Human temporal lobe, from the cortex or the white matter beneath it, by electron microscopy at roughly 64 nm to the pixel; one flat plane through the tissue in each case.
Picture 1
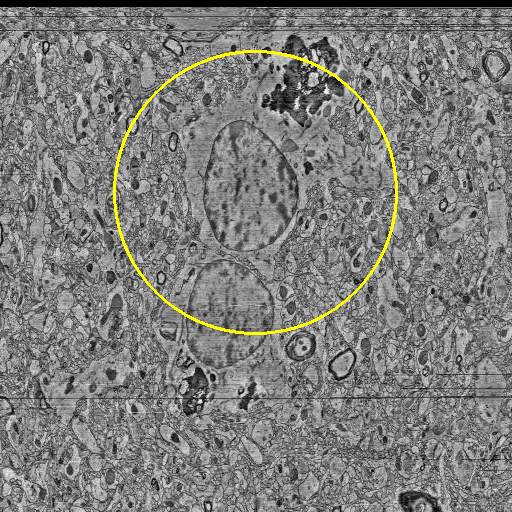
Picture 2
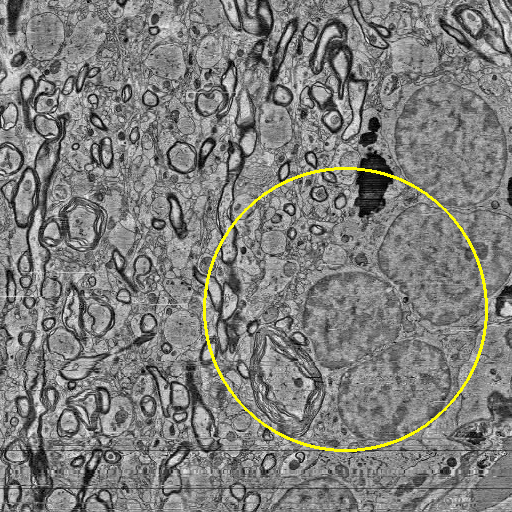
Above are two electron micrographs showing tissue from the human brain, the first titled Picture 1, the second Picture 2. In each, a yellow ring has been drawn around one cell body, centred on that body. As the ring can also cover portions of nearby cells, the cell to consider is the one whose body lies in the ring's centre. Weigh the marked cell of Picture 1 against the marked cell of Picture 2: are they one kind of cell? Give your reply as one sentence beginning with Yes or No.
No, the two cells sitting at the ring centres in the pictures are of two kinds.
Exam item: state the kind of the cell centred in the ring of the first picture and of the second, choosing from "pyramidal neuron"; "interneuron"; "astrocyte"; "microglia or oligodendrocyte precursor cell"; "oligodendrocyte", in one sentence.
The first picture shows an astrocyte at the ring centre and the second shows an oligodendrocyte.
